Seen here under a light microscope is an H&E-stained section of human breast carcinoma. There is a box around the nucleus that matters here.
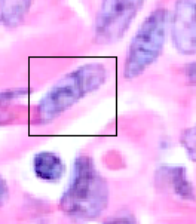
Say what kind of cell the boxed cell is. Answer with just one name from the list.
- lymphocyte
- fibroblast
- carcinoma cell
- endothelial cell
endothelial cell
